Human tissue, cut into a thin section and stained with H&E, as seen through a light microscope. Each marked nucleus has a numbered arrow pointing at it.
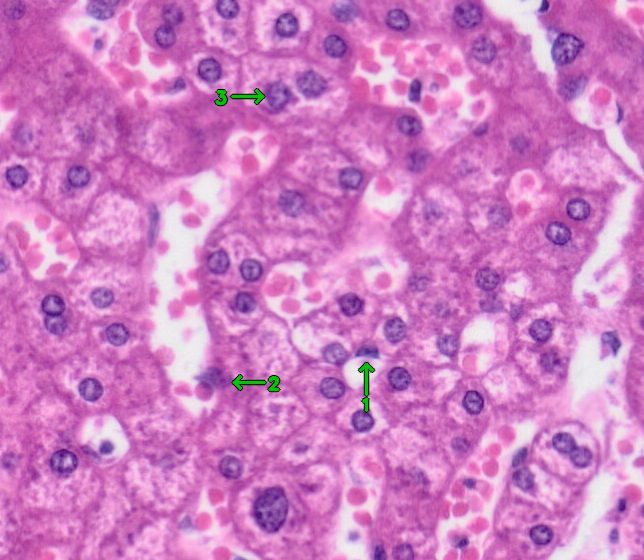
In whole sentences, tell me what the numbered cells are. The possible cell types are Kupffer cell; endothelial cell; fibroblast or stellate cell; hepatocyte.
Cell 1 is an endothelial cell, cell 2 is an endothelial cell and cell 3 is a hepatocyte.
